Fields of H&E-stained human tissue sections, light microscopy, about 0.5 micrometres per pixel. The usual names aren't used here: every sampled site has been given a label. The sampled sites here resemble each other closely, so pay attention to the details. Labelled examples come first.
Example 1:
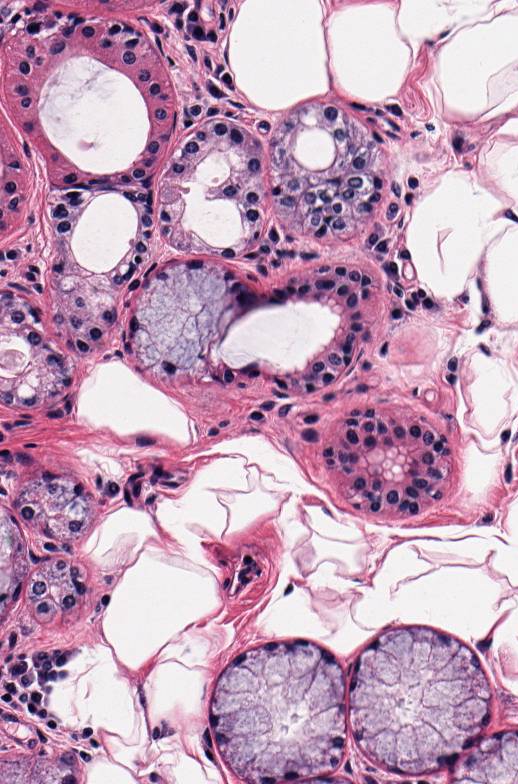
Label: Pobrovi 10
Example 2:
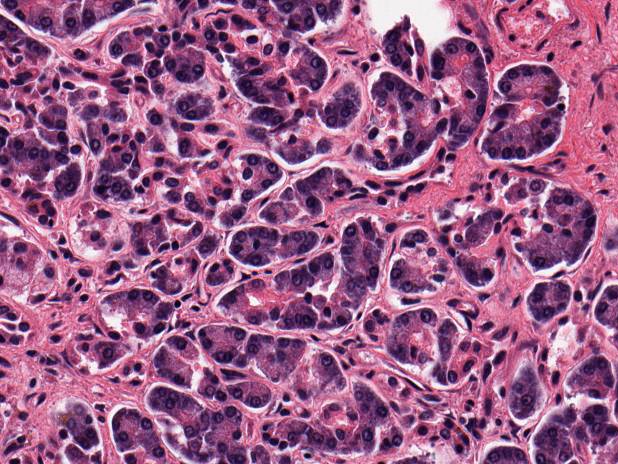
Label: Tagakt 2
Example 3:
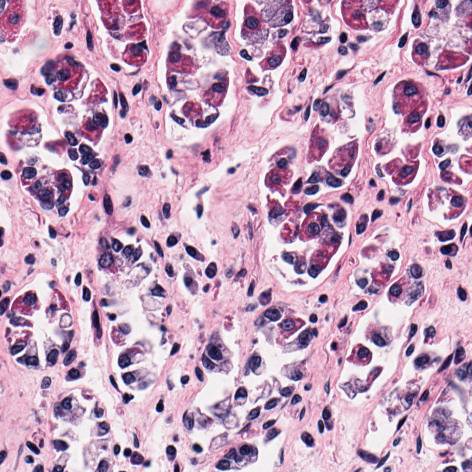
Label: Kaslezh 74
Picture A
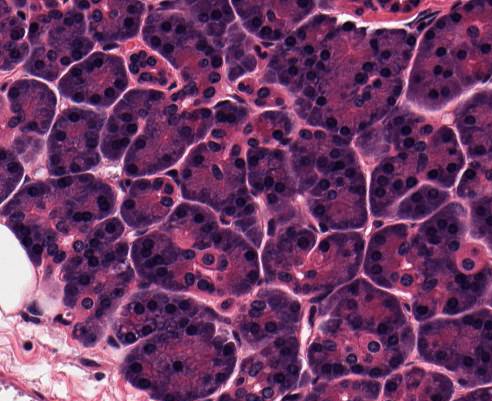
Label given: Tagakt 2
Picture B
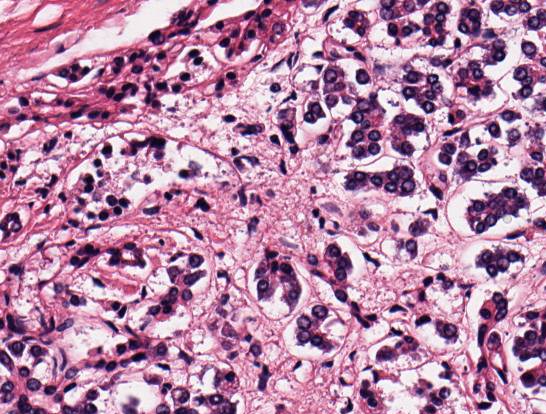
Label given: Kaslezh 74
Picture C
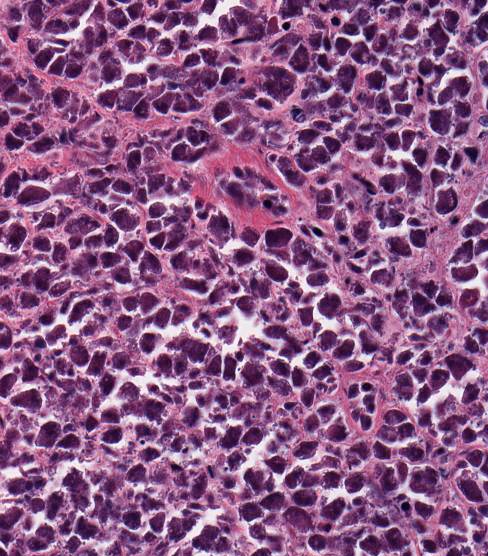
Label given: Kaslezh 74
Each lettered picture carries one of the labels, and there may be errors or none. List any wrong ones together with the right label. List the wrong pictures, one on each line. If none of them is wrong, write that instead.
Wrong: B (Kaslezh 74); correct: Tagakt 2
Wrong: C (Kaslezh 74); correct: Tagakt 2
